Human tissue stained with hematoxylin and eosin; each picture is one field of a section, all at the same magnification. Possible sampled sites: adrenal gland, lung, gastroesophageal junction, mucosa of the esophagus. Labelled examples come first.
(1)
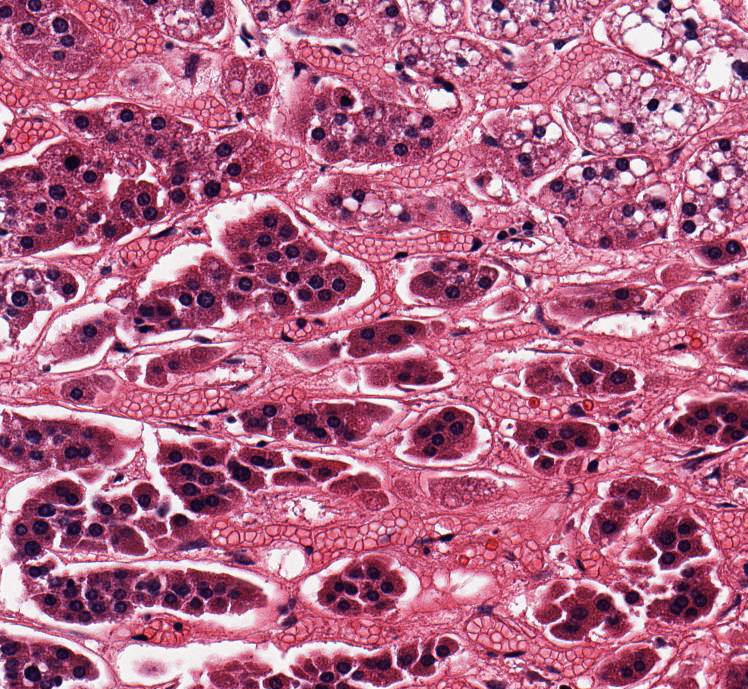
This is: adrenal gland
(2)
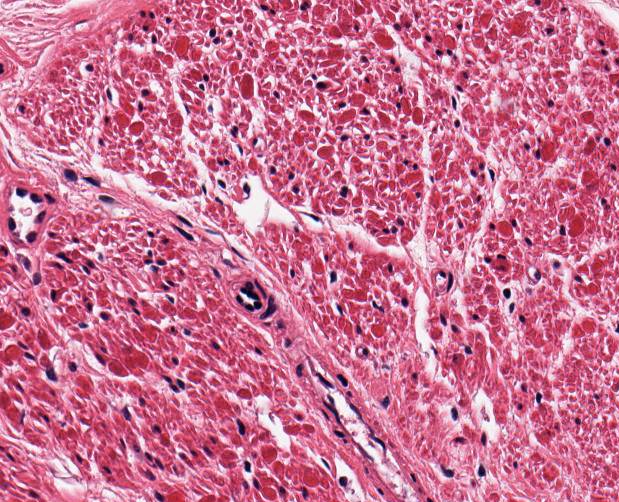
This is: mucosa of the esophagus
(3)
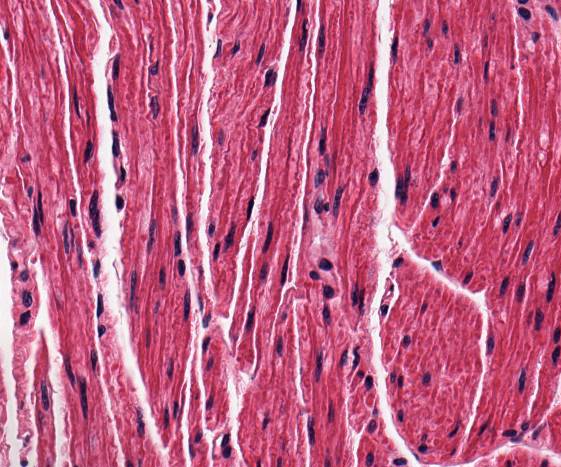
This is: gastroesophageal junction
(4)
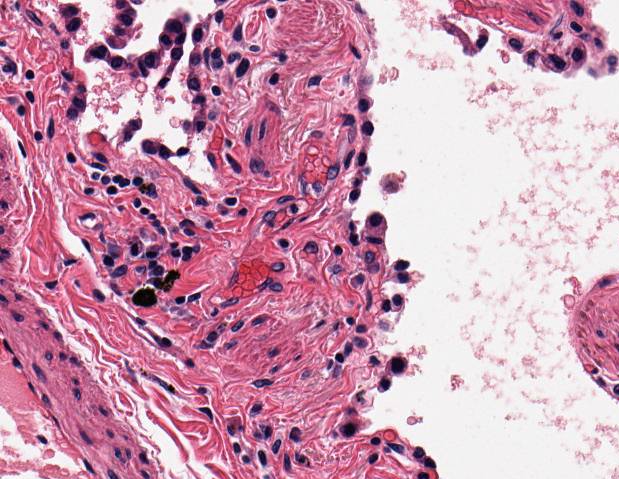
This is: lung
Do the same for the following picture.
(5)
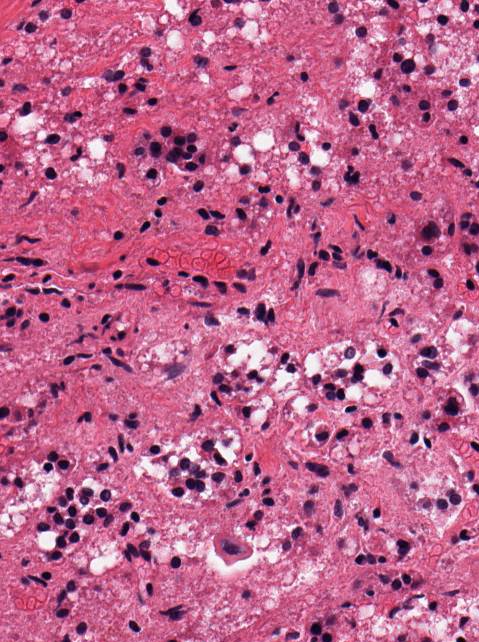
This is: adrenal gland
